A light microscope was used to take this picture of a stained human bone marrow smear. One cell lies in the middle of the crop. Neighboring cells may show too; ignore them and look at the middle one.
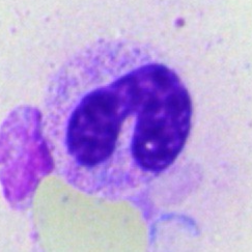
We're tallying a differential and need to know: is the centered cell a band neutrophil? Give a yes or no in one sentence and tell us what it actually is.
Yes, the cell that the crop is centered on is a band neutrophil.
